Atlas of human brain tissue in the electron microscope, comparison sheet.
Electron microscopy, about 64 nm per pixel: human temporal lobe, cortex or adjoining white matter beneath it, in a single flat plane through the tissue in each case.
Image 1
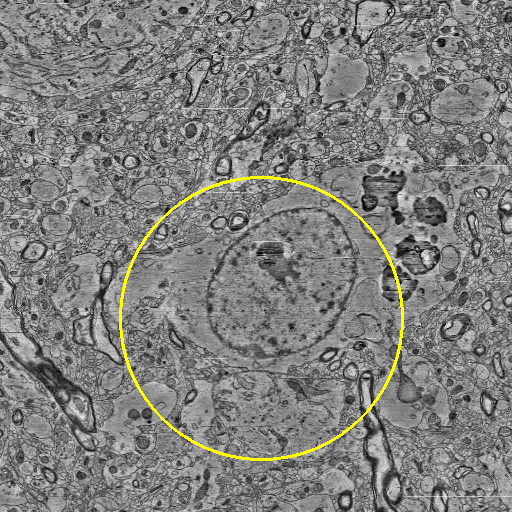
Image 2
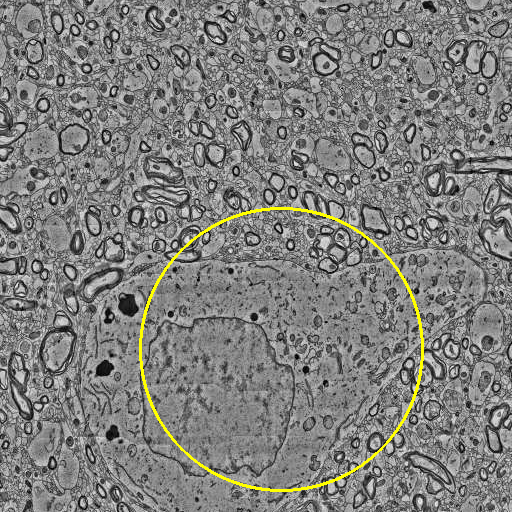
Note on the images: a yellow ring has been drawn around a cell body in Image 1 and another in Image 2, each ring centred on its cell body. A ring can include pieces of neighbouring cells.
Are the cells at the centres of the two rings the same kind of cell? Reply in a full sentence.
No, the two cells are of two kinds.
